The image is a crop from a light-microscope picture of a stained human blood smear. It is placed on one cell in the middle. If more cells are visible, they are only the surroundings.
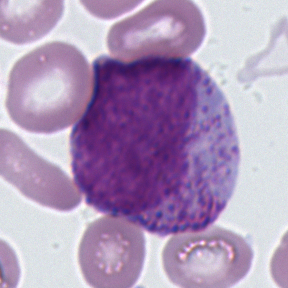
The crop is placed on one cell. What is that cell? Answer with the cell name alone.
promyelocyte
